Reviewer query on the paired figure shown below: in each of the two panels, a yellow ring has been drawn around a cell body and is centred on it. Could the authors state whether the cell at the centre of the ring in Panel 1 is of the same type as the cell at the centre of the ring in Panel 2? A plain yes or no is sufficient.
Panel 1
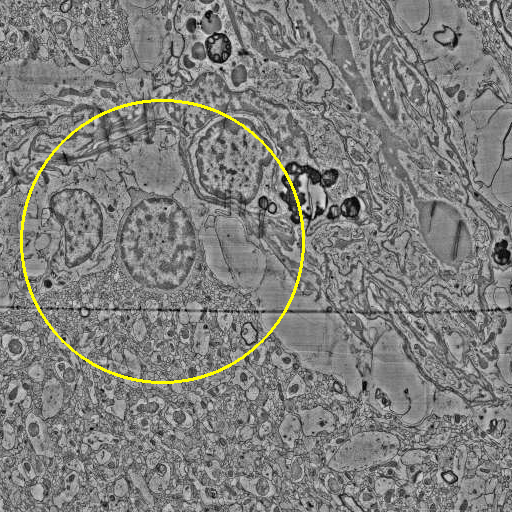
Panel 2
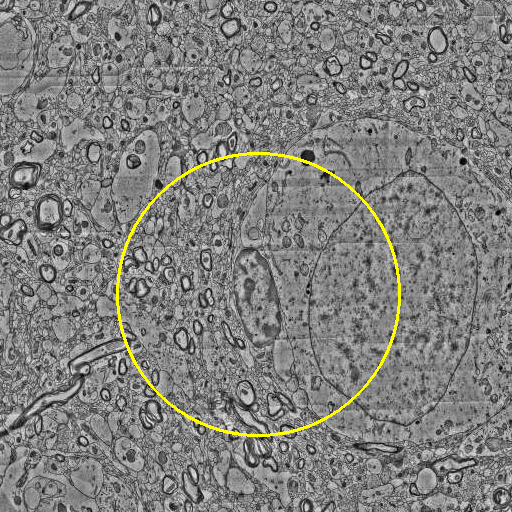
no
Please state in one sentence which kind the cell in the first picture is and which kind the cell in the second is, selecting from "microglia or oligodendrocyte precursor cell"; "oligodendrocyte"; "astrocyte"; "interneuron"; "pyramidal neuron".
The first ringed cell is an oligodendrocyte, the second ringed cell a microglial cell or oligodendrocyte precursor cell.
